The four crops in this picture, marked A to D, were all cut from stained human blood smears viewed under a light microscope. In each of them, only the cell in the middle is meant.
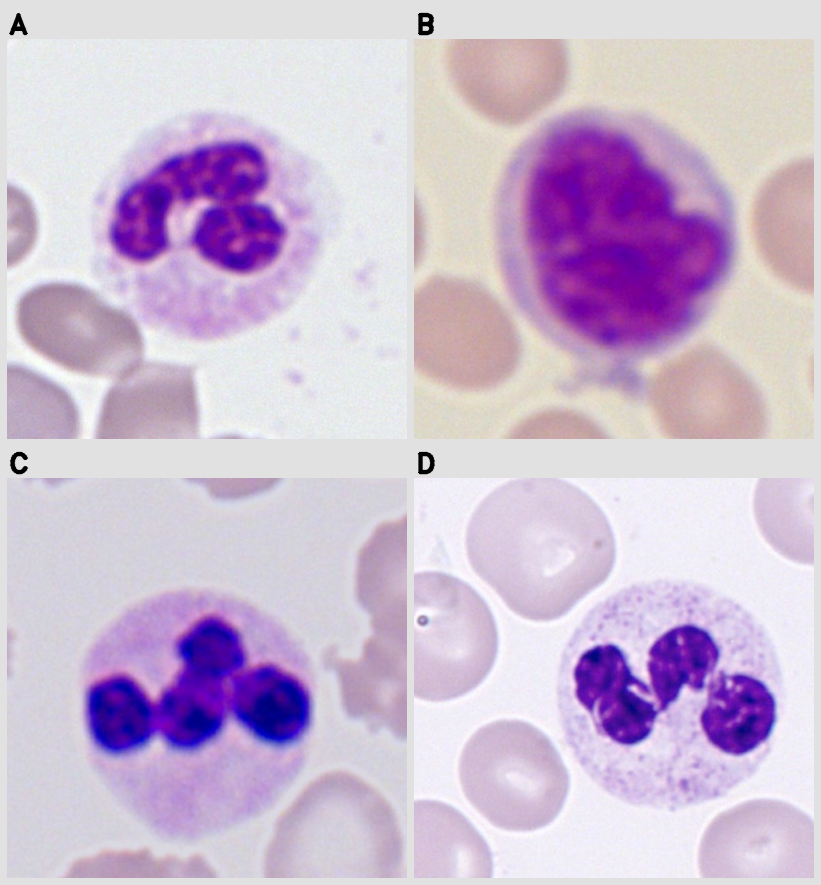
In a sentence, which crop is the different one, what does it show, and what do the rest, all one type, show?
Among the crops, crop B is unique in showing a monocyte; the others show segmented neutrophils.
